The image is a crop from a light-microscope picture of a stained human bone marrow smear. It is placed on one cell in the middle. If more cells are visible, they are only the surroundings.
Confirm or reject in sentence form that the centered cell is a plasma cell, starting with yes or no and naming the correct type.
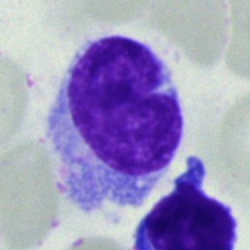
No, the cell in the middle of the crop counts as a hairy cell and not as a plasma cell.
